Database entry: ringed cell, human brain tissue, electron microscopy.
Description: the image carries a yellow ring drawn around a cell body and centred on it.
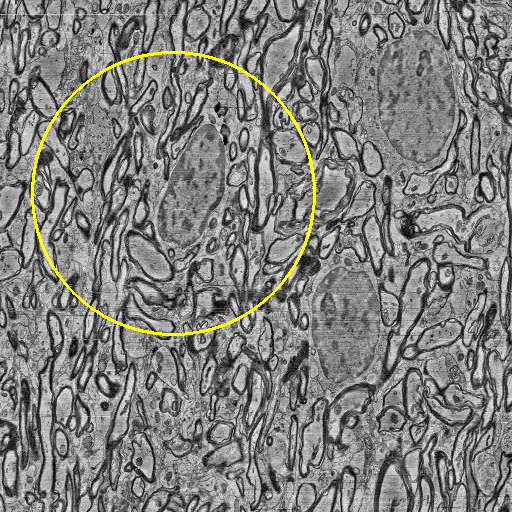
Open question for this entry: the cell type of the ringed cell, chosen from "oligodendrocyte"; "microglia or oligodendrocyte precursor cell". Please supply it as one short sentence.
The ringed cell is a microglial cell or oligodendrocyte precursor cell.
